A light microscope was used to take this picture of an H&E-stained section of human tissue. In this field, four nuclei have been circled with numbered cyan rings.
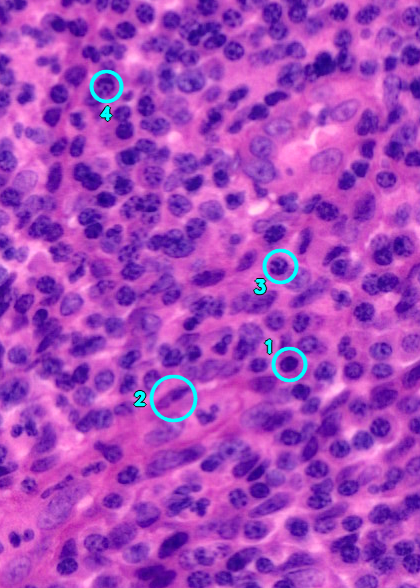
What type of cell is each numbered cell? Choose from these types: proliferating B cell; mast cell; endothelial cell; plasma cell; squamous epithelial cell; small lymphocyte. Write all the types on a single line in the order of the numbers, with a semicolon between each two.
plasma cell; squamous epithelial cell; plasma cell; plasma cell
